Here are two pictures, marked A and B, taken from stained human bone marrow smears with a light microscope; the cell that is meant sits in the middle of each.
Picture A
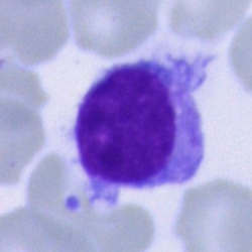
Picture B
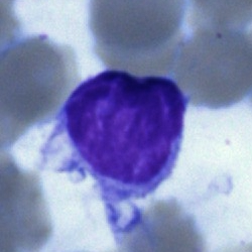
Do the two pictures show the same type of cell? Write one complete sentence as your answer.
Yes, they are the same type: both are hairy cells.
